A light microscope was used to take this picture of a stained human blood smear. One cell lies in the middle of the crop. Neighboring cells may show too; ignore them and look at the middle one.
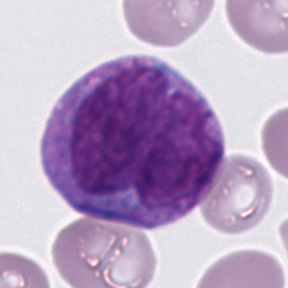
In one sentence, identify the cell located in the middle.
What the crop centres on is an atypical promyelocyte.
